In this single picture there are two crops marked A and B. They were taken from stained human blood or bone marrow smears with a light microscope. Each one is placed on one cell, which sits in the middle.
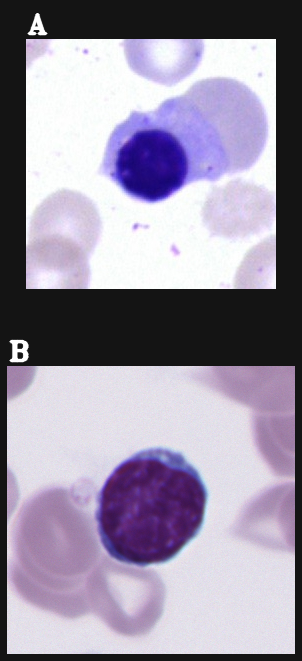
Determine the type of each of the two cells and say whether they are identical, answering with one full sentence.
No, crop A should be called an erythroblast, and crop B should be called a lymphocyte.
